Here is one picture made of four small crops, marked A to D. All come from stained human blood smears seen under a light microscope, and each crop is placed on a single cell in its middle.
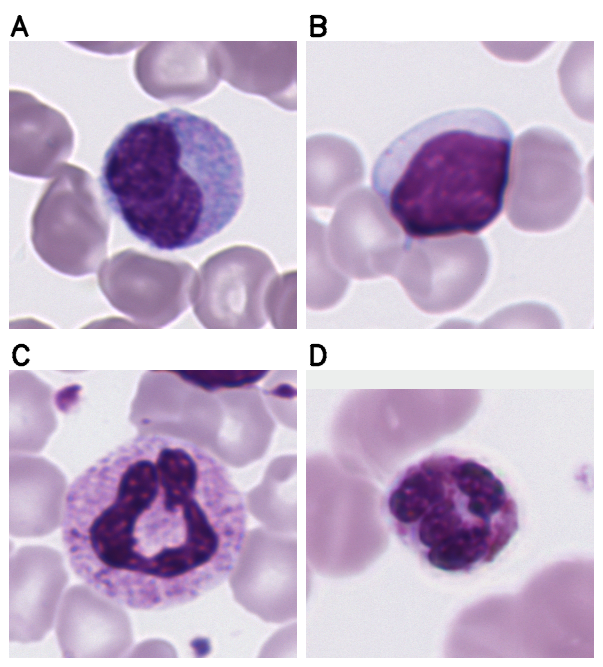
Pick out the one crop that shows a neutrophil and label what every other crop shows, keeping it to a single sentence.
It is crop C that shows a neutrophil, while crop A is a monocyte, crop B is a large granular lymphocyte and crop D is an eosinophil.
